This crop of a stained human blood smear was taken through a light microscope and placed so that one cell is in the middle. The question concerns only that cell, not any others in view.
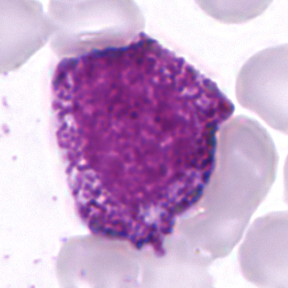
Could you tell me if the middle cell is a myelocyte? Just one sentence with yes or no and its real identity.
Yes, the middle cell here is a myelocyte.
